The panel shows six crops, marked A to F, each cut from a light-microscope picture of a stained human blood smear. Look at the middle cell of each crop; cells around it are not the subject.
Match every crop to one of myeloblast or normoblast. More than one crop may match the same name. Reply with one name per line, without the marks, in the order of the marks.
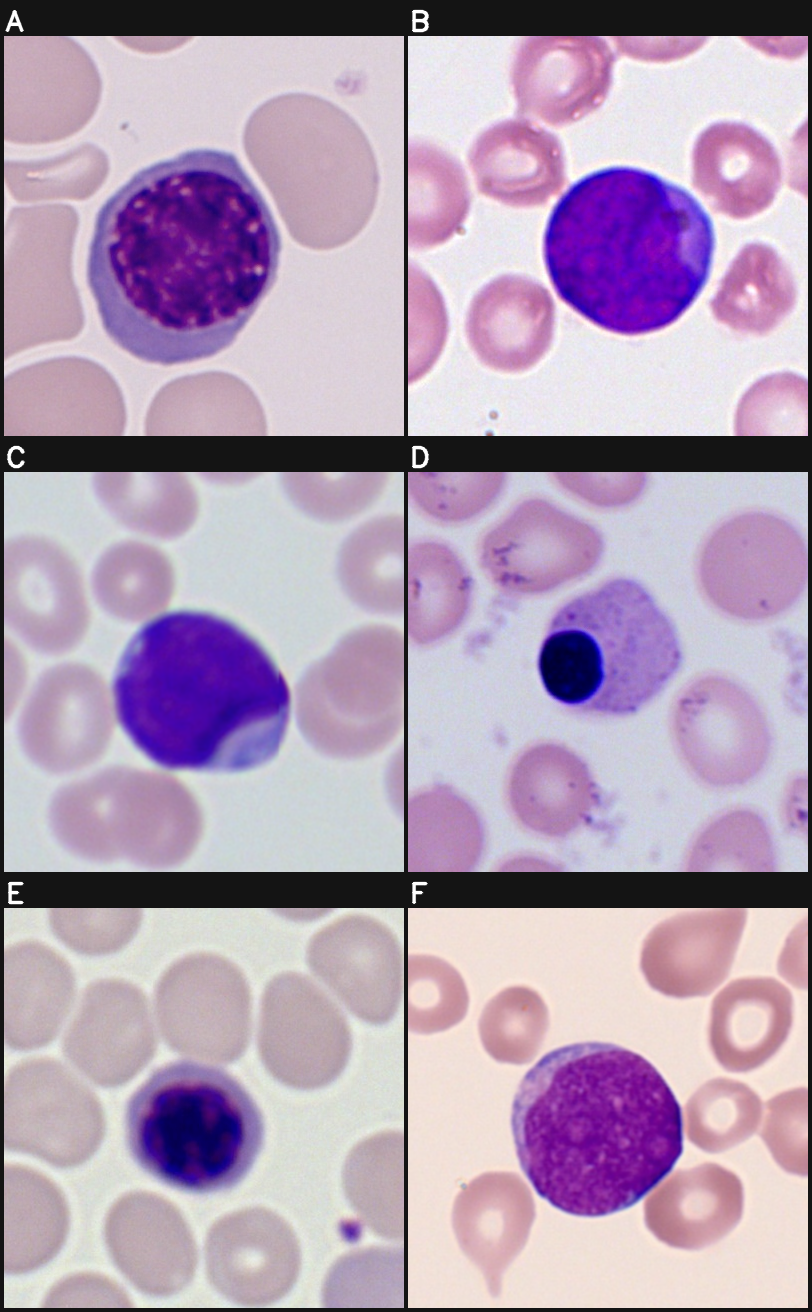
normoblast
myeloblast
myeloblast
normoblast
normoblast
myeloblast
